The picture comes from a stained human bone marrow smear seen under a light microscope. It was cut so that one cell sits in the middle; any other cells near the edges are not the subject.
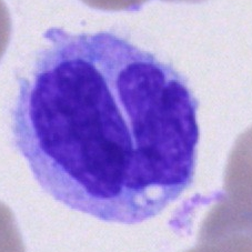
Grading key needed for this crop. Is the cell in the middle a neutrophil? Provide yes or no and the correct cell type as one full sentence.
No; rather than a neutrophil, the cell at the center is a monocyte.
